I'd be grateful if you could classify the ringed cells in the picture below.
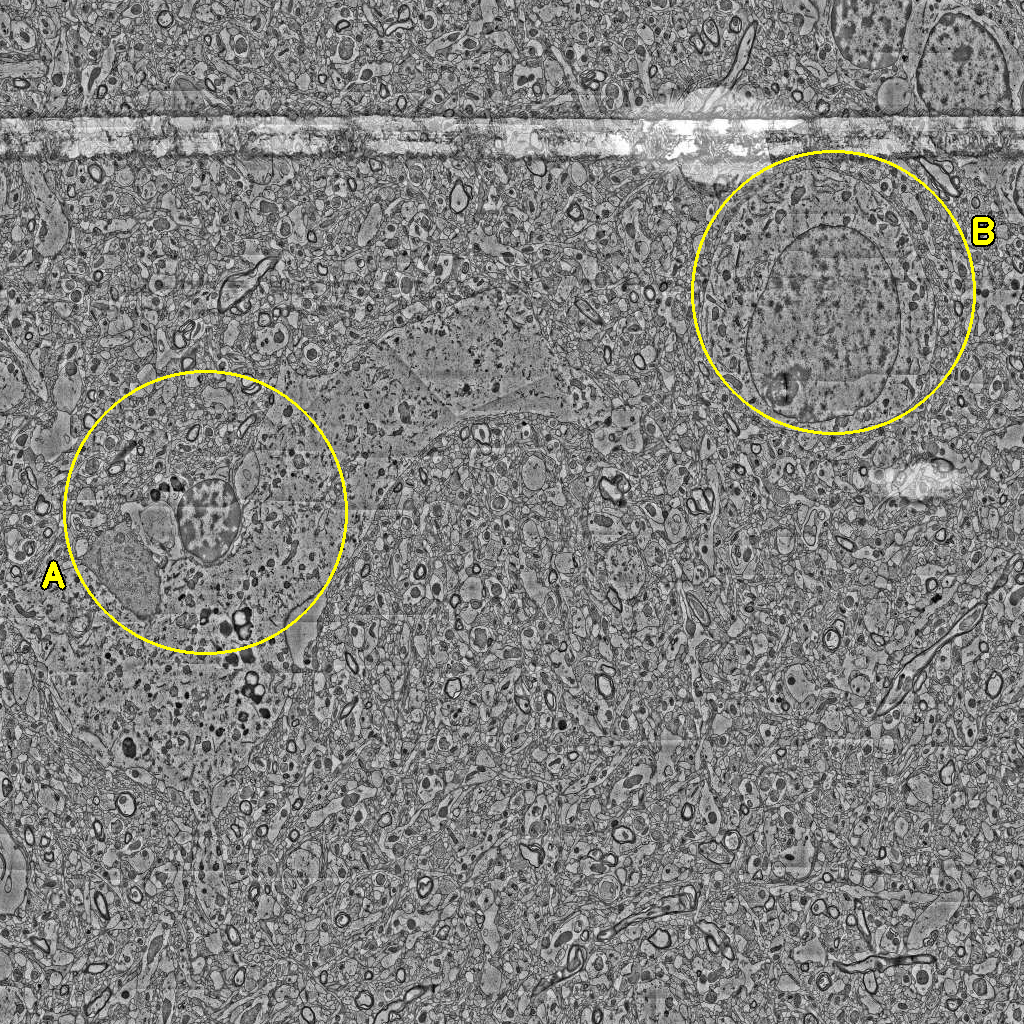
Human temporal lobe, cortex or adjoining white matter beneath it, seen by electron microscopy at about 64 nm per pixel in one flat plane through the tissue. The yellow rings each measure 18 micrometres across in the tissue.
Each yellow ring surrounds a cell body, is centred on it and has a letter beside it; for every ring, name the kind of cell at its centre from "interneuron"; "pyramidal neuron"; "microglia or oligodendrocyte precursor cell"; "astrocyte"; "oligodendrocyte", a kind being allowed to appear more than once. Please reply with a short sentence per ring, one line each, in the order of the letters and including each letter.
In ring A we have a microglial cell or oligodendrocyte precursor cell.
In ring B we have an interneuron.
